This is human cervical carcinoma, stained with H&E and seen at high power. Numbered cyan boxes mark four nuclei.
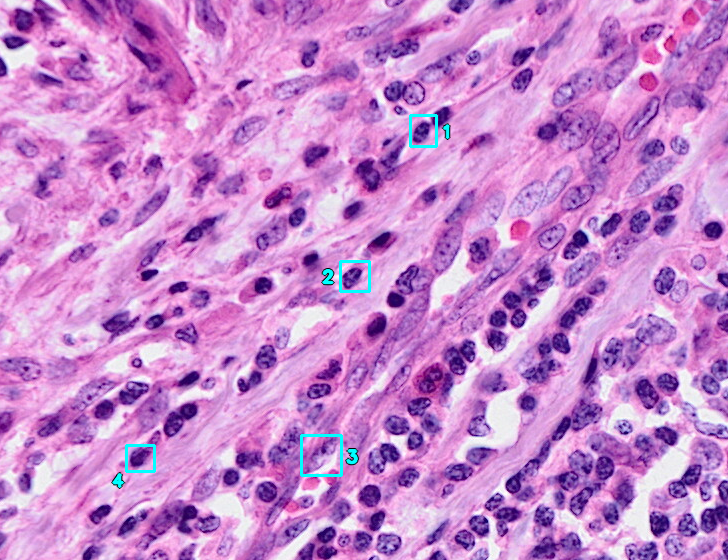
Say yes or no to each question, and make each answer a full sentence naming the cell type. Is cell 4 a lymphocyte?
Yes, the cell corresponding to number 4 is a lymphocyte.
